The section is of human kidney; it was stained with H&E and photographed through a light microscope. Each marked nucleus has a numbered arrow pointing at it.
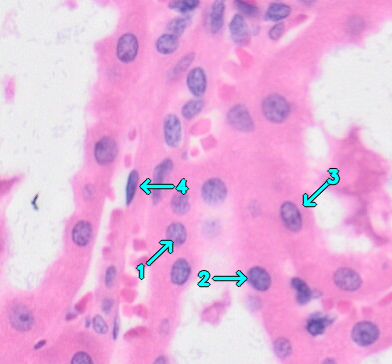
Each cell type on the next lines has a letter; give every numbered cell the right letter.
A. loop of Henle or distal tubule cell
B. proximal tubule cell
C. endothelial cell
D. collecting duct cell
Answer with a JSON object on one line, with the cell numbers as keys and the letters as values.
{"1": "A", "2": "A", "3": "B", "4": "C"}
